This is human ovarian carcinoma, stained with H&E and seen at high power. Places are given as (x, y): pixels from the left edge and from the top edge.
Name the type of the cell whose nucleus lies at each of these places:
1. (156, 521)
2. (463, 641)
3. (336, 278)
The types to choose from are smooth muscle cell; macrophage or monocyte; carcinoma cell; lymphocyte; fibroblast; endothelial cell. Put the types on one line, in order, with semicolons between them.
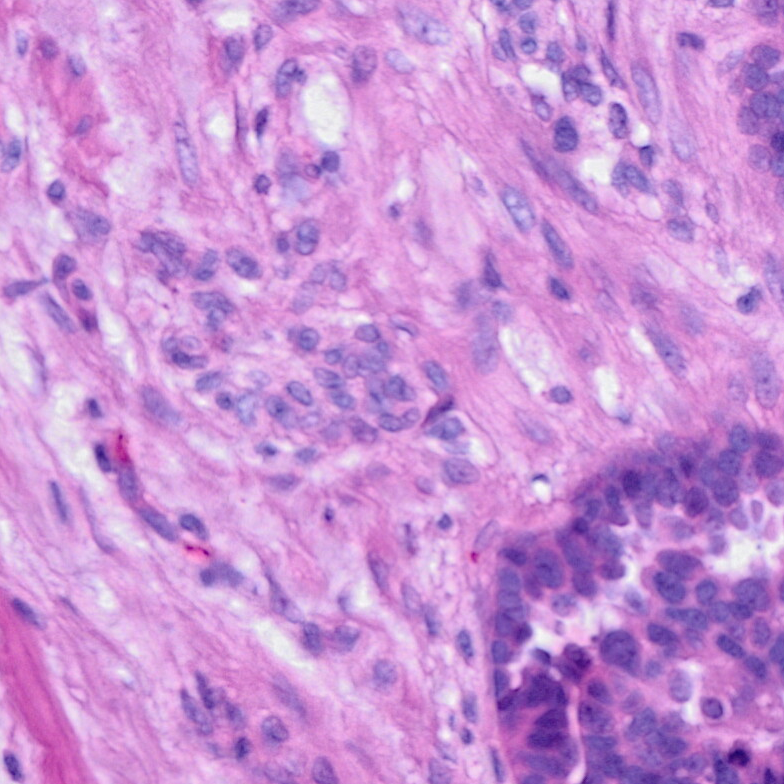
endothelial cell; macrophage or monocyte; fibroblast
